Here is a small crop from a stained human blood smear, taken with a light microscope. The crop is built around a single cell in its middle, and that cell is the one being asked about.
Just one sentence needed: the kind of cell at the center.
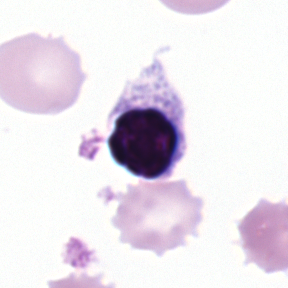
For this crop, the cell in the middle is a normoblast.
